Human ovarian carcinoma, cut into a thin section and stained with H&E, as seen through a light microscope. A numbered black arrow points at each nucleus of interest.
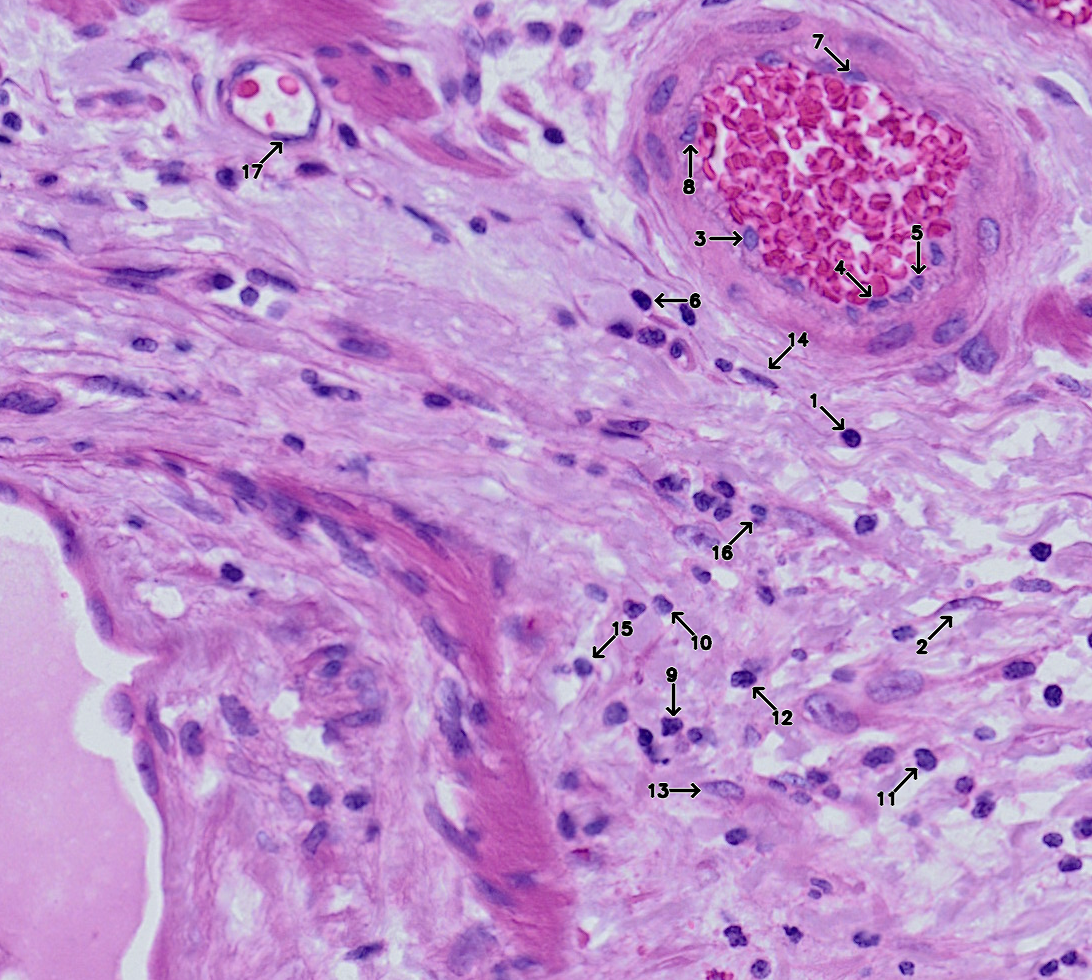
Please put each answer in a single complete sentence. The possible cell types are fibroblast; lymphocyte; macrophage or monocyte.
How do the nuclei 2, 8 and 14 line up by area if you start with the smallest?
From smallest to largest, the order is 8, 14, 2.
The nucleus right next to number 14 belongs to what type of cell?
It is a lymphocyte whose nucleus is nearest to number 14.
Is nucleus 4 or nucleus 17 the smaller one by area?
Nucleus 4 covers less area, with nucleus 17 about 2.5 times as large.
